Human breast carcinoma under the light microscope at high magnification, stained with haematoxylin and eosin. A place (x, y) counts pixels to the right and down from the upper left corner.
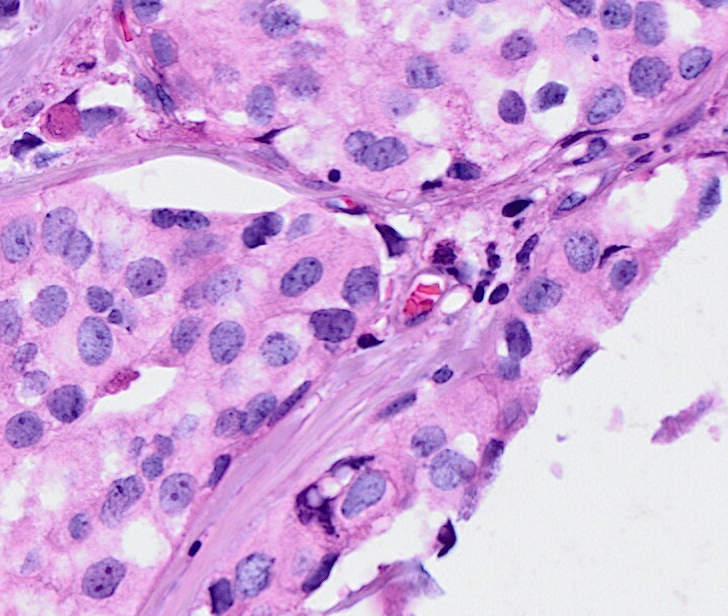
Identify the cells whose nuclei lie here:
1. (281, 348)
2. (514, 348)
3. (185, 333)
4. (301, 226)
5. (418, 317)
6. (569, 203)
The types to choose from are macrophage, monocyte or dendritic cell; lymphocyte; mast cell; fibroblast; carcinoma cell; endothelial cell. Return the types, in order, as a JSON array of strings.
["carcinoma cell", "carcinoma cell", "carcinoma cell", "carcinoma cell", "endothelial cell", "endothelial cell"]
